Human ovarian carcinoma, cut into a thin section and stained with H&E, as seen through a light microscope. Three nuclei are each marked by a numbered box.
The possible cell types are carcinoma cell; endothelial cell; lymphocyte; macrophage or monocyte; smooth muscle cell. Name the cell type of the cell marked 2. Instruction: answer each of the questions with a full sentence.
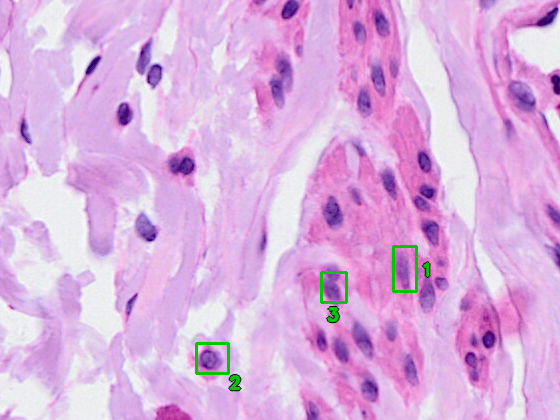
Denoted by the label 2 in the section is a macrophage or monocyte.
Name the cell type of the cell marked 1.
Cell number 1 in this section is a smooth muscle cell.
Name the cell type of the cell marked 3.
The cell marked with number 3 is a smooth muscle cell.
